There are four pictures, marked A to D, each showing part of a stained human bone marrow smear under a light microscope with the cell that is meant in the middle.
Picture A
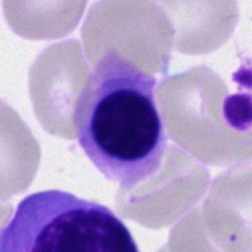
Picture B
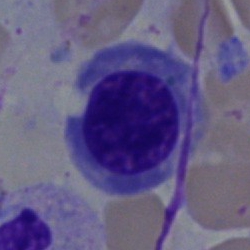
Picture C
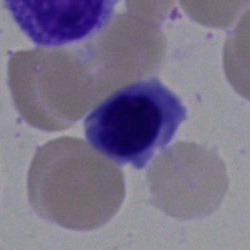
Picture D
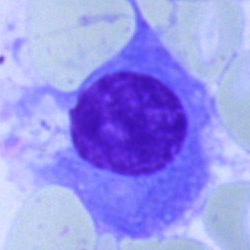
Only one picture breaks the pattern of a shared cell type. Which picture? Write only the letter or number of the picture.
D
